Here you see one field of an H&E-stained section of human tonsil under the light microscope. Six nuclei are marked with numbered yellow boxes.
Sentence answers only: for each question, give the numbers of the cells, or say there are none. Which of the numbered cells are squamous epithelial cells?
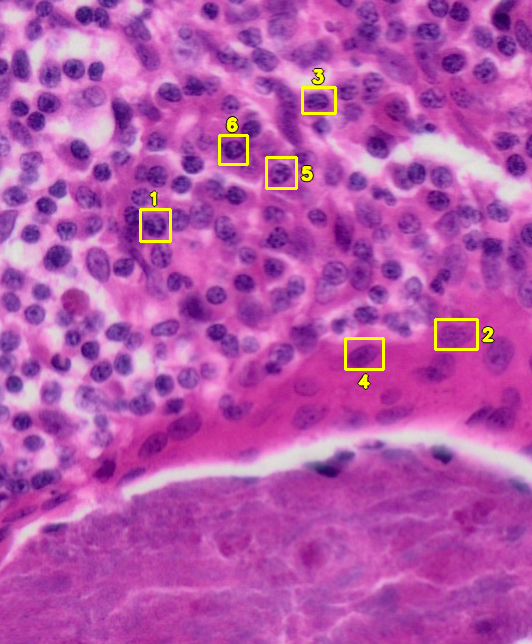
The cells whose numbers are 2 and 4 are squamous epithelial cells.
